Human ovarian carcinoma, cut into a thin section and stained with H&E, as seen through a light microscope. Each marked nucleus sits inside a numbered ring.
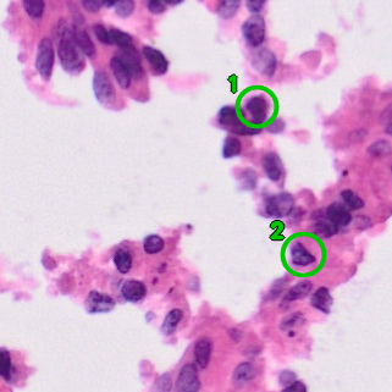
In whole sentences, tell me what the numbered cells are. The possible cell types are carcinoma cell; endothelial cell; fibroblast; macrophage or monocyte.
Cell 1 is a carcinoma cell. Cell 2 is a macrophage or monocyte.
